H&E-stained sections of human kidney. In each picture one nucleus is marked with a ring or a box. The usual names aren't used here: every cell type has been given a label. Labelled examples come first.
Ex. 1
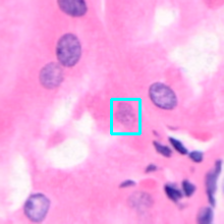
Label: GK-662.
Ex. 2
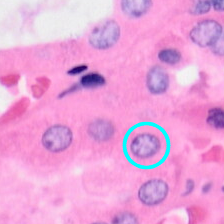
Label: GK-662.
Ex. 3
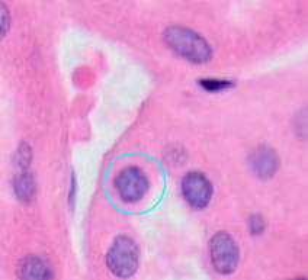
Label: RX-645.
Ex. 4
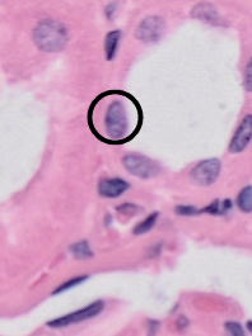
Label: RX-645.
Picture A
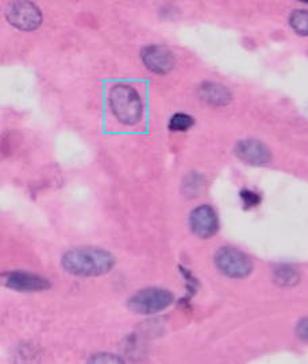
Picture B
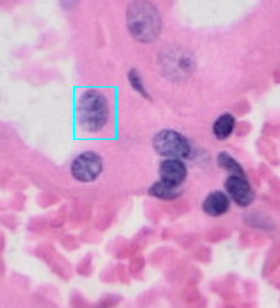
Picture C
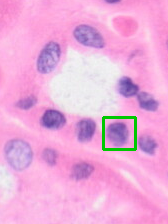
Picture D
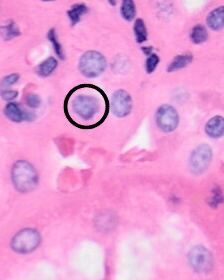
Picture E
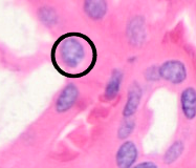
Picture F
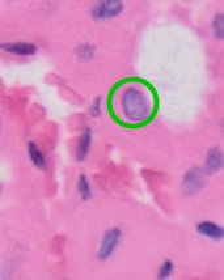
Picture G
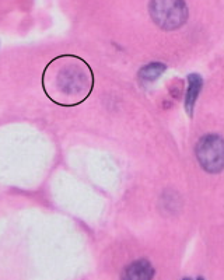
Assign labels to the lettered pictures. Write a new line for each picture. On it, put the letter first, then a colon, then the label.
A: GK-662.
B: RX-645.
C: RX-645.
D: RX-645.
E: RX-645.
F: RX-645.
G: GK-662.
